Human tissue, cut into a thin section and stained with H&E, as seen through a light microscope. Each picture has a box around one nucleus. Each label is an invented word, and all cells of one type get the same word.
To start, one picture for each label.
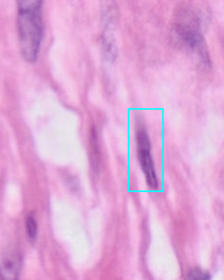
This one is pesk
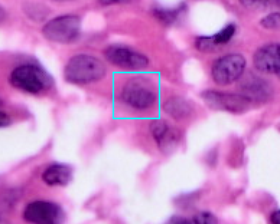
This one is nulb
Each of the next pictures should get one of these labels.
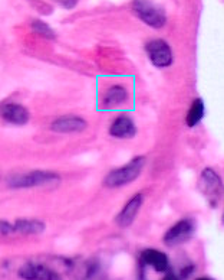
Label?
pesk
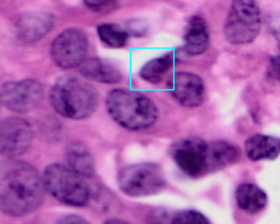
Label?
nulb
